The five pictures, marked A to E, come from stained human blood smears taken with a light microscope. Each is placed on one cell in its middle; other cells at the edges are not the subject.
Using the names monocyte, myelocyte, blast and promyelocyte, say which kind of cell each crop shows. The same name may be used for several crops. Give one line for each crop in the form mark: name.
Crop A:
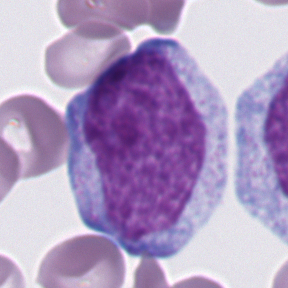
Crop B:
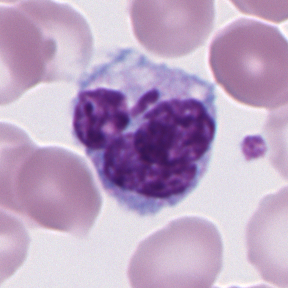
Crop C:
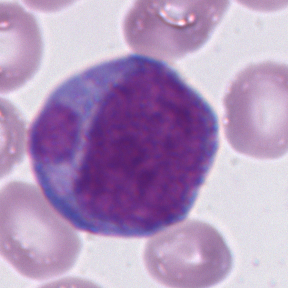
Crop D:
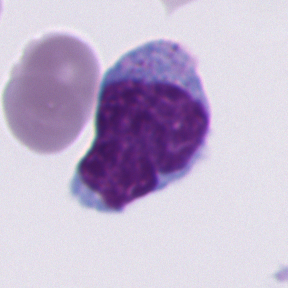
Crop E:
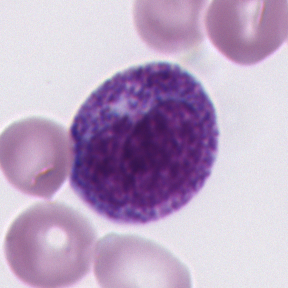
A: promyelocyte
B: monocyte
C: promyelocyte
D: monocyte
E: myelocyte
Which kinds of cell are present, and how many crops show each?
promyelocyte: 2
monocyte: 2
myelocyte: 1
